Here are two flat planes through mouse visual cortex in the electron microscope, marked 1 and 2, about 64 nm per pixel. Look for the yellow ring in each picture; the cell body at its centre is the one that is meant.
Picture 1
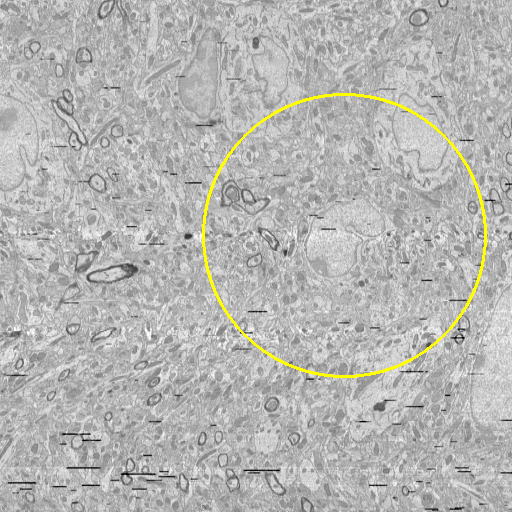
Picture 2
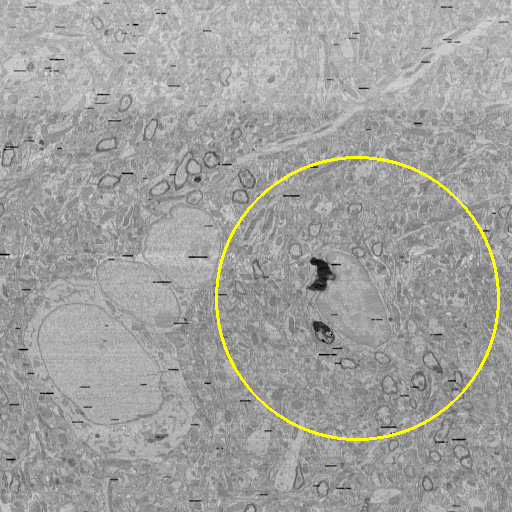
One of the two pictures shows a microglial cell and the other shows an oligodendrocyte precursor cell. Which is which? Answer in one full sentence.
Picture 2 shows a microglial cell, while picture 1 shows an oligodendrocyte precursor cell.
